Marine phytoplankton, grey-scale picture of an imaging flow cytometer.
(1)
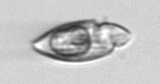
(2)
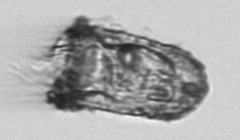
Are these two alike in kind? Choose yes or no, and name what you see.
No. First Kapelodinium, second a tintinnid.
